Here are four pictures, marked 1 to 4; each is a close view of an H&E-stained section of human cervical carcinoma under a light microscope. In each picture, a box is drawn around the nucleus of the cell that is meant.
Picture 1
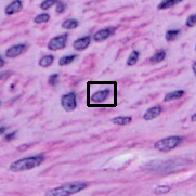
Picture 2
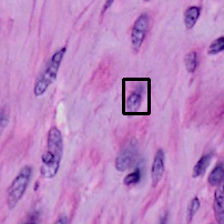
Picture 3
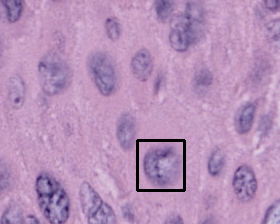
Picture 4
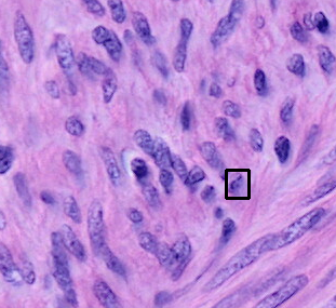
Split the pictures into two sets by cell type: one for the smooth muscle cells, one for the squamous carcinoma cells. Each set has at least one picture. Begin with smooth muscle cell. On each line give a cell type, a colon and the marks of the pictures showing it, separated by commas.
smooth muscle cell: 1, 2, 4
squamous carcinoma cell: 3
